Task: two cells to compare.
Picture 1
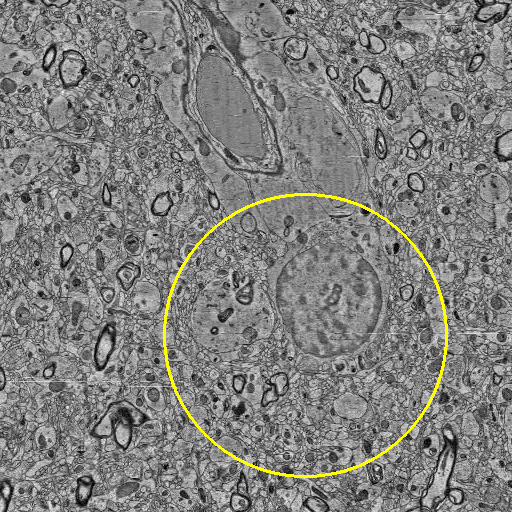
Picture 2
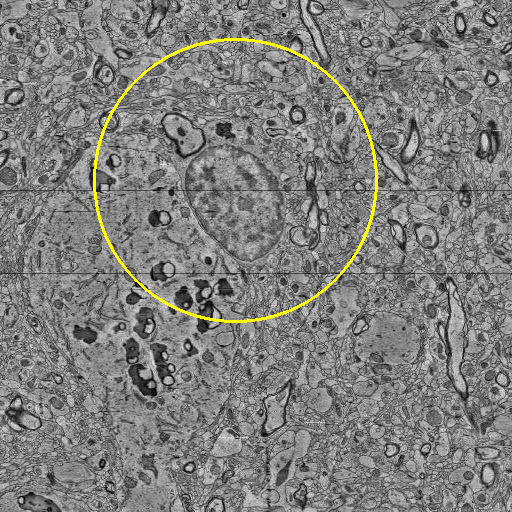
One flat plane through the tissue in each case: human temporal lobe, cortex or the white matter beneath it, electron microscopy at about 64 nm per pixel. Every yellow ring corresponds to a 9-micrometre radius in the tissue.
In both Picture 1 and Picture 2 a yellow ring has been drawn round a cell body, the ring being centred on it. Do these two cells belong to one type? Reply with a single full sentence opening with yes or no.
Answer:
Yes, the two cells at the ring centres in Picture 1 and Picture 2 share one type.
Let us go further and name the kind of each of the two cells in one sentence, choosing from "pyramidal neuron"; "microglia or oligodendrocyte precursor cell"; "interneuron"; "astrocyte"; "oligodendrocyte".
Both cells are the same kind, each one being an oligodendrocyte.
